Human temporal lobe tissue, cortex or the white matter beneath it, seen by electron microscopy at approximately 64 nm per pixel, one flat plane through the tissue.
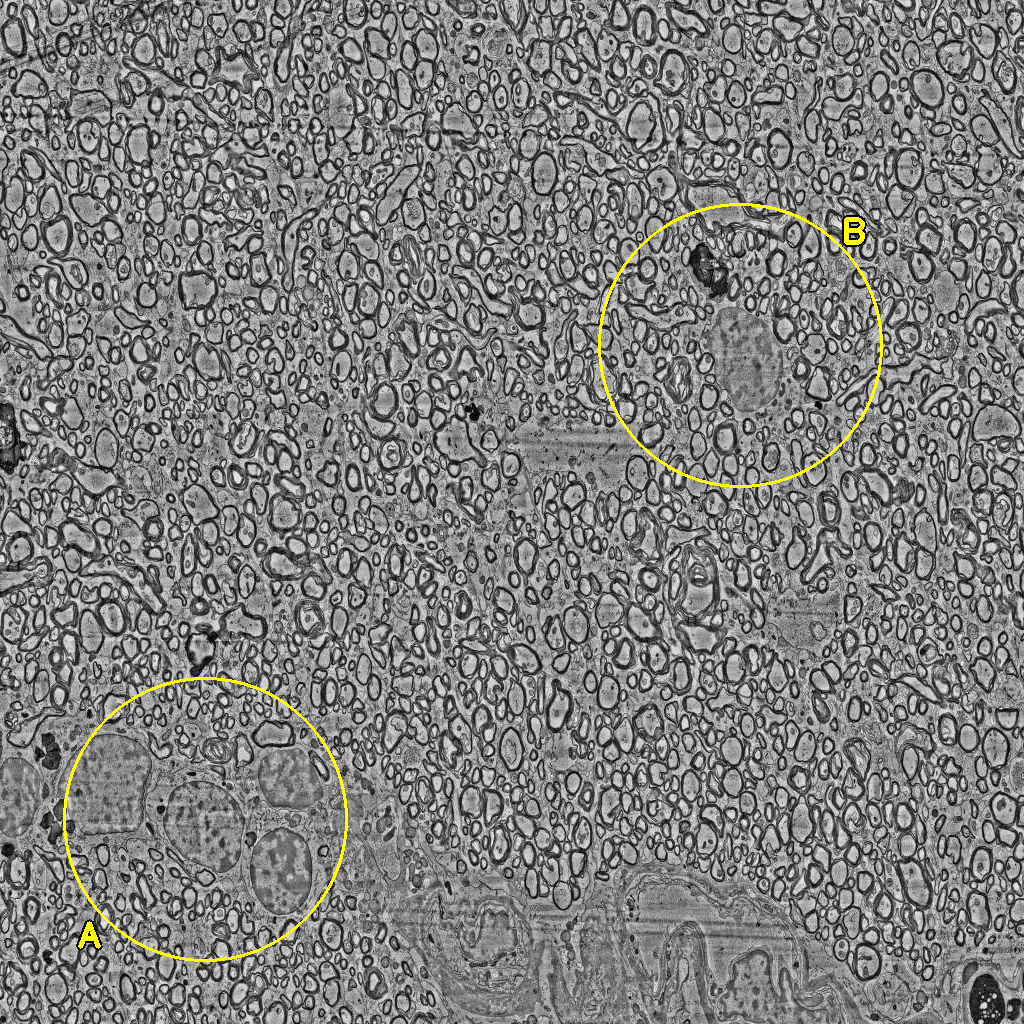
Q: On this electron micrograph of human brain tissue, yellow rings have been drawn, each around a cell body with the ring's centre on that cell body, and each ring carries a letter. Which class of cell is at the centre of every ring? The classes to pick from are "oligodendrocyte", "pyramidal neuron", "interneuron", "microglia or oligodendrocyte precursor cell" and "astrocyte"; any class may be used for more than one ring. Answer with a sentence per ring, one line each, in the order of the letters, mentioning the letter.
The centre of ring A is occupied by a microglial cell or oligodendrocyte precursor cell.
The centre of ring B is occupied by an oligodendrocyte.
